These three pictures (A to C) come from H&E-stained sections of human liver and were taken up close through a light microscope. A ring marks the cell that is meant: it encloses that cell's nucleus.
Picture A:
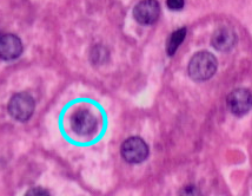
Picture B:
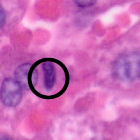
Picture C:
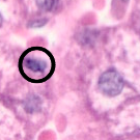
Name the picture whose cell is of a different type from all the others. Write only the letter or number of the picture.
A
